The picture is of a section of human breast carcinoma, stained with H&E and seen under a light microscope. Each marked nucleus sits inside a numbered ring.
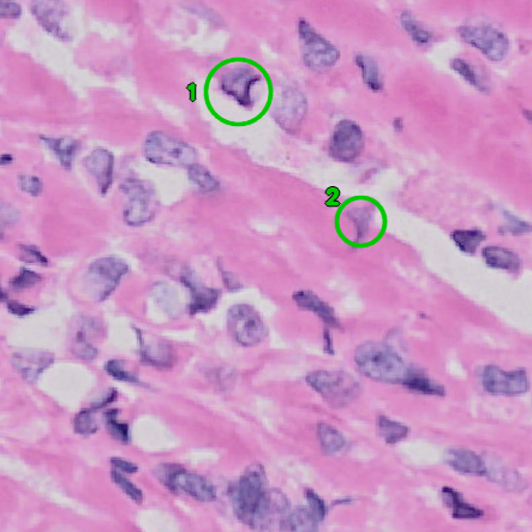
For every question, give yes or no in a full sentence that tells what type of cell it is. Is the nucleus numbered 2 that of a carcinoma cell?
No, it is a fibroblast, not a carcinoma cell, that number 2 marks.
